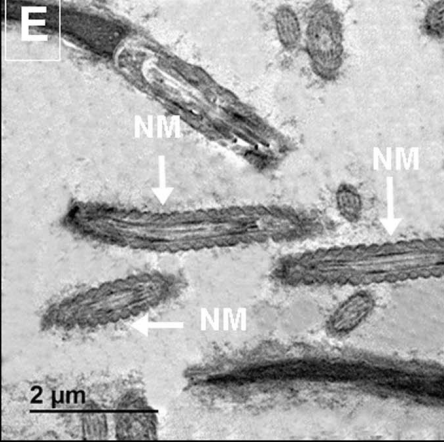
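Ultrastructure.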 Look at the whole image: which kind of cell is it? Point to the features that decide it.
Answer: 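Elongated cell segments with a helically arranged sheath of small repeating units along their length. Small round profiles in cross section showing a ring of sheath around a central core. Dense, slender head profiles in the same field.
Hence: spermatozoa.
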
